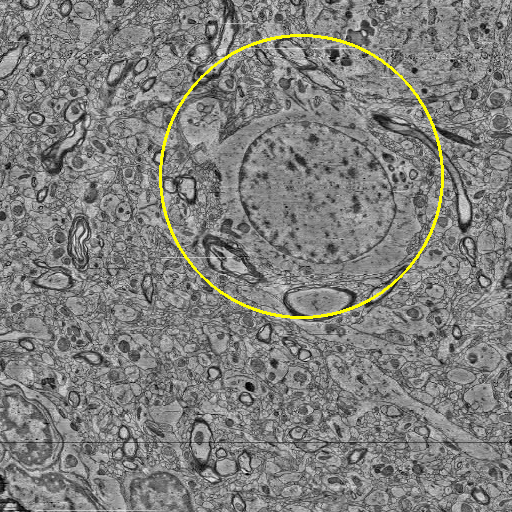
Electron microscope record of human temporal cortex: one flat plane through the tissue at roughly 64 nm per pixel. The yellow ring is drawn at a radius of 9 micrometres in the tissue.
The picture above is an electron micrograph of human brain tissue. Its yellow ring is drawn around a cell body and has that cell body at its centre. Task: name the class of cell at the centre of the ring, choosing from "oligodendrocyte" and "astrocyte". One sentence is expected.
The ring surrounds the body of an astrocyte.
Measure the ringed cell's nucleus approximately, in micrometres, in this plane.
Approximately 11 micrometres long and 9 micrometres wide, in this plane.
